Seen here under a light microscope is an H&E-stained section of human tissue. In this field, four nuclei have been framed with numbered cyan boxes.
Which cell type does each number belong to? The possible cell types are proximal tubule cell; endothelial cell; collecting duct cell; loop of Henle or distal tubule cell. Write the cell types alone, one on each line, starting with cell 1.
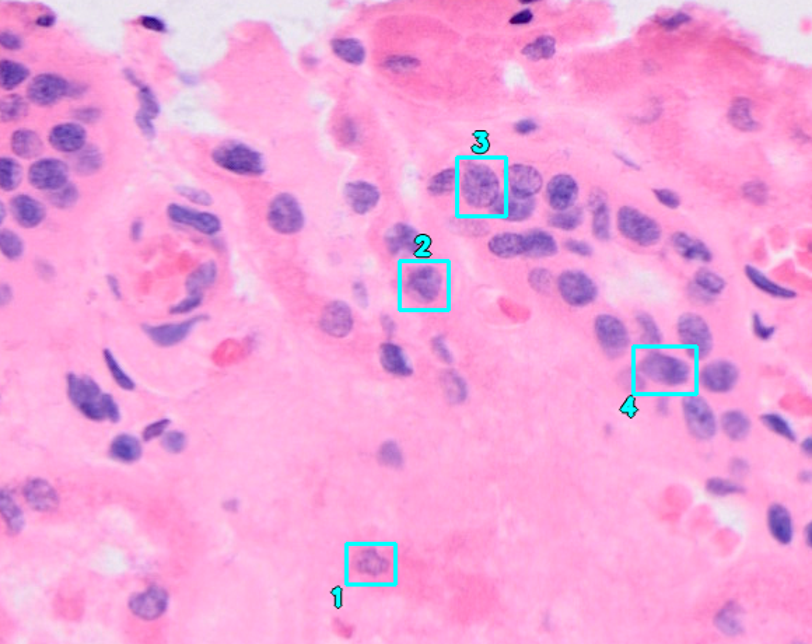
proximal tubule cell
loop of Henle or distal tubule cell
collecting duct cell
collecting duct cell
